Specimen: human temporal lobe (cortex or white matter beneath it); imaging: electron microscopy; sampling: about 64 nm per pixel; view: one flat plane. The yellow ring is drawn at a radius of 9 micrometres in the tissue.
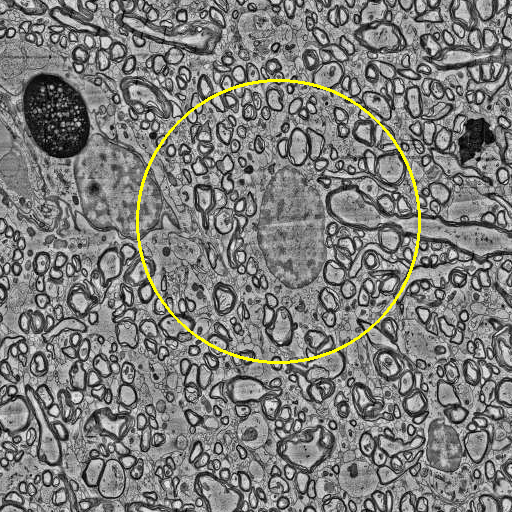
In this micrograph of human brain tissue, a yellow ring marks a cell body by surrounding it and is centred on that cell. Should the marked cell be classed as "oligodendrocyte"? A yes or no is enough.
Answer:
yes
